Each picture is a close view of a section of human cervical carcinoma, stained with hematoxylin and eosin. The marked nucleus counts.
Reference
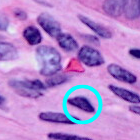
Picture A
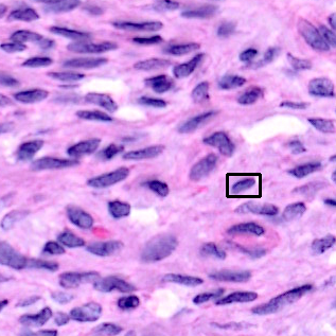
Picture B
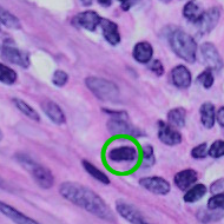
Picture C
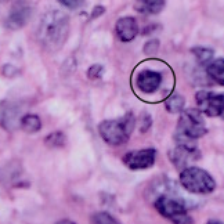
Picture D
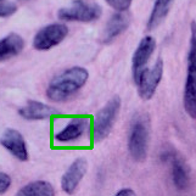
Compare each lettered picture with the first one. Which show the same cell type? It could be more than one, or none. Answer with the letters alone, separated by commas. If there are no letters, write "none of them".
A, D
